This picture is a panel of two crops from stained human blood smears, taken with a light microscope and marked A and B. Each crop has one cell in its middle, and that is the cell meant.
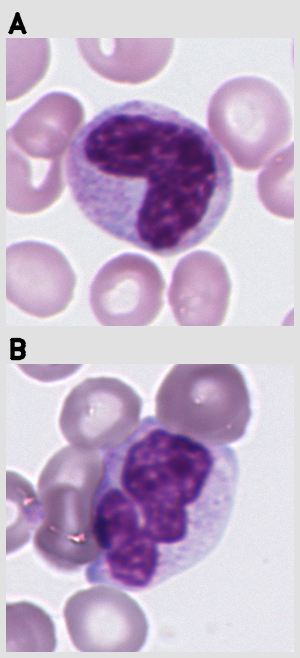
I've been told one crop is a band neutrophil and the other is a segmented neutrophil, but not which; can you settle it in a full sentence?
Identification: crop A is a band neutrophil; crop B is a segmented neutrophil.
